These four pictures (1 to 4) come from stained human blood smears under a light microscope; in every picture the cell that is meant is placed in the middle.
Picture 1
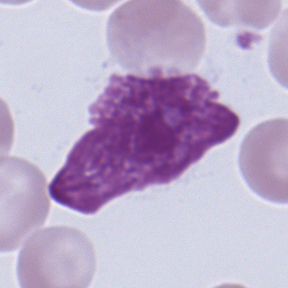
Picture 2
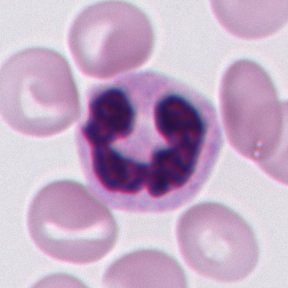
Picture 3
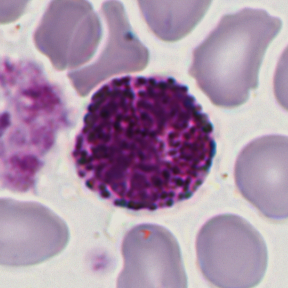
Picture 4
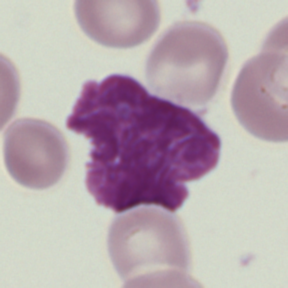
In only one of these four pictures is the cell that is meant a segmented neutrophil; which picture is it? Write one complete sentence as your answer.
Picture 2 is the one that shows the segmented neutrophil.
